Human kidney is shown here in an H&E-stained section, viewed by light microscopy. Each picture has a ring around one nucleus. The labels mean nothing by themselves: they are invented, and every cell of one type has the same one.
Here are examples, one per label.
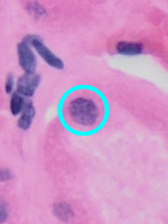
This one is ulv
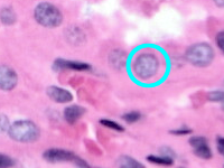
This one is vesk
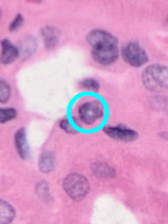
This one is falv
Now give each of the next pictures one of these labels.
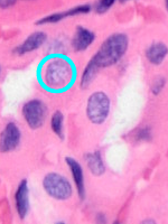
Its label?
falv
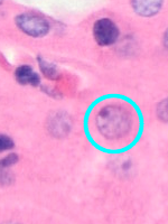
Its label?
ulv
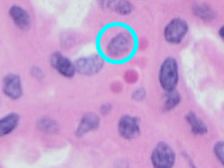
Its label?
falv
